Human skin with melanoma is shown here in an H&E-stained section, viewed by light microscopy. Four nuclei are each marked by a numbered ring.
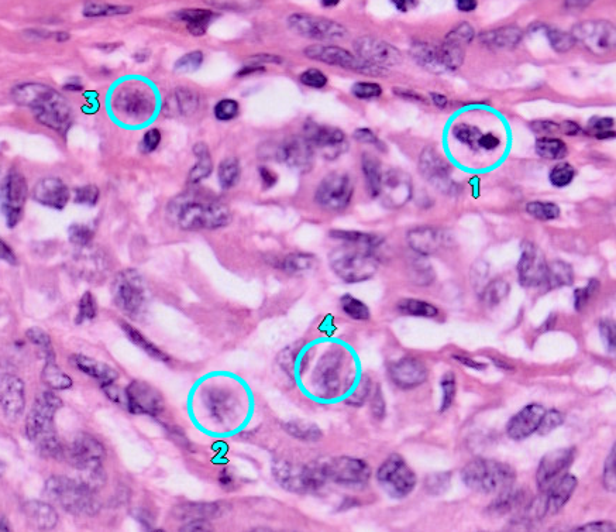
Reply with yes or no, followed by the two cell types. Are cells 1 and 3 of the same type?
No, cell 1 is a lymphocyte and cell 3 is a melanoma cell.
